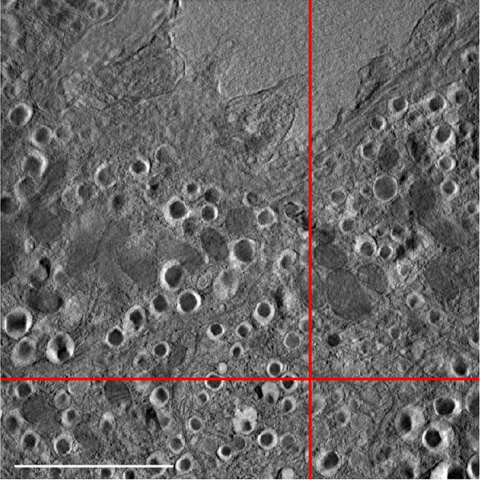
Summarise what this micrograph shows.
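This is the cytoplasm of pancreatic islet beta cells, packed with many round insulin-secretory granules, each a dense core within a pale halo bounded by a membrane. Among the granules lie larger, darker oval mitochondria, and across the top a granule-free region with thin folded membranes borders the cells.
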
